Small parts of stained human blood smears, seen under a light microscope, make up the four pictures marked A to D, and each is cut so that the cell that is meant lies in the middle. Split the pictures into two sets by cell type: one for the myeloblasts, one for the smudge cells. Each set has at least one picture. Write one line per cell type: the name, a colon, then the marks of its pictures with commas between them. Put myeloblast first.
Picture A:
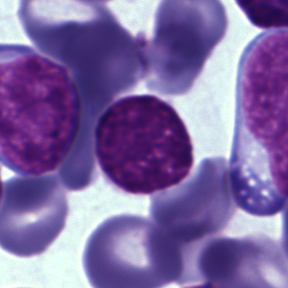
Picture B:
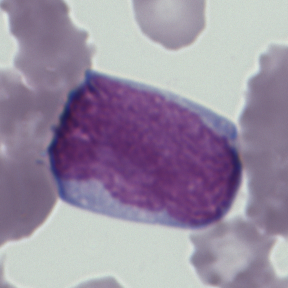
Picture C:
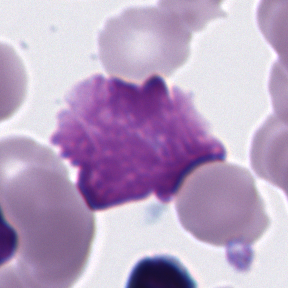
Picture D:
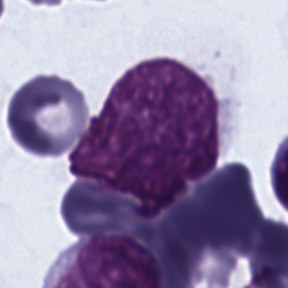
myeloblast: A, B
smudge cell: C, D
